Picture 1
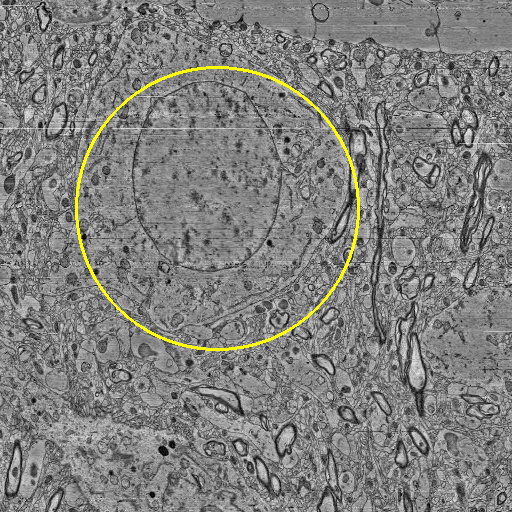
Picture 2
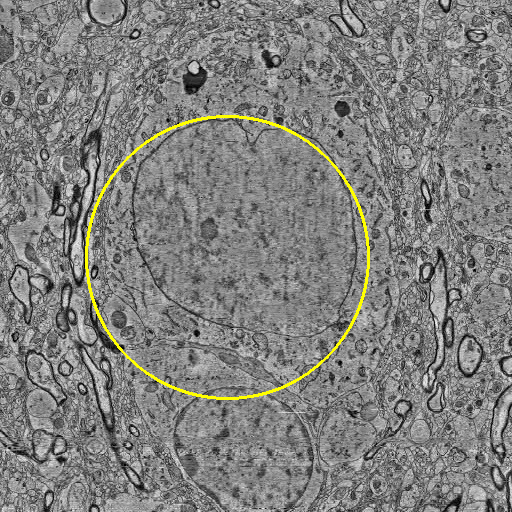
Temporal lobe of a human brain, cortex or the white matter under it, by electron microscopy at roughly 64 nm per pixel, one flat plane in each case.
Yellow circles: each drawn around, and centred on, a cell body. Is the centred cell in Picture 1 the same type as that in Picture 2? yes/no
yes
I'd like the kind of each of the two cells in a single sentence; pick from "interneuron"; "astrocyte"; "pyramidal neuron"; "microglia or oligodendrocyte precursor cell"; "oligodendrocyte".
Each of the two cells is a pyramidal neuron.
